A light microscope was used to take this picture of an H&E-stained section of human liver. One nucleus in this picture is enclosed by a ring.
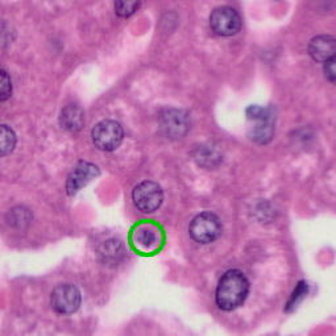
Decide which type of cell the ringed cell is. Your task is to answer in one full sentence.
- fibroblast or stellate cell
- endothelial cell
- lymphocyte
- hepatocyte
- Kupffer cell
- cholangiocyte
Considered by cell type, the ringed cell is a fibroblast or stellate cell.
